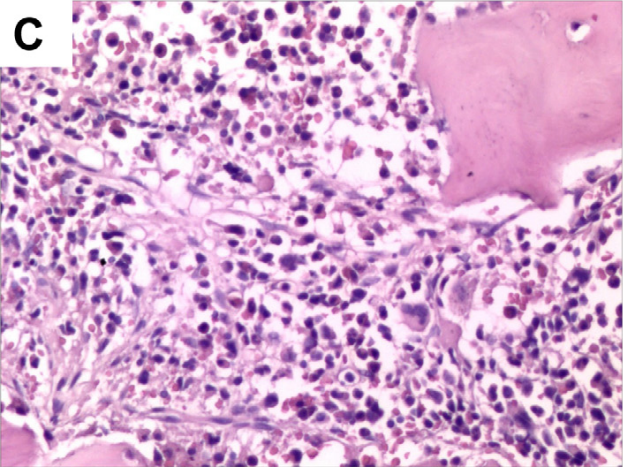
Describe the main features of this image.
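This is cellular bone marrow containing a mixture of hematopoietic cells, a few megakaryocytes and some fibrous stroma next to a bony trabecula. A pink bony trabecula lies at the upper right edge. Most cells are small and round with dark nuclei, and many have reddish cytoplasm. A few larger cells with pink cytoplasm and irregular nuclei are megakaryocytes. Thin pale pink strands with elongated nuclei run among the cells in places.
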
